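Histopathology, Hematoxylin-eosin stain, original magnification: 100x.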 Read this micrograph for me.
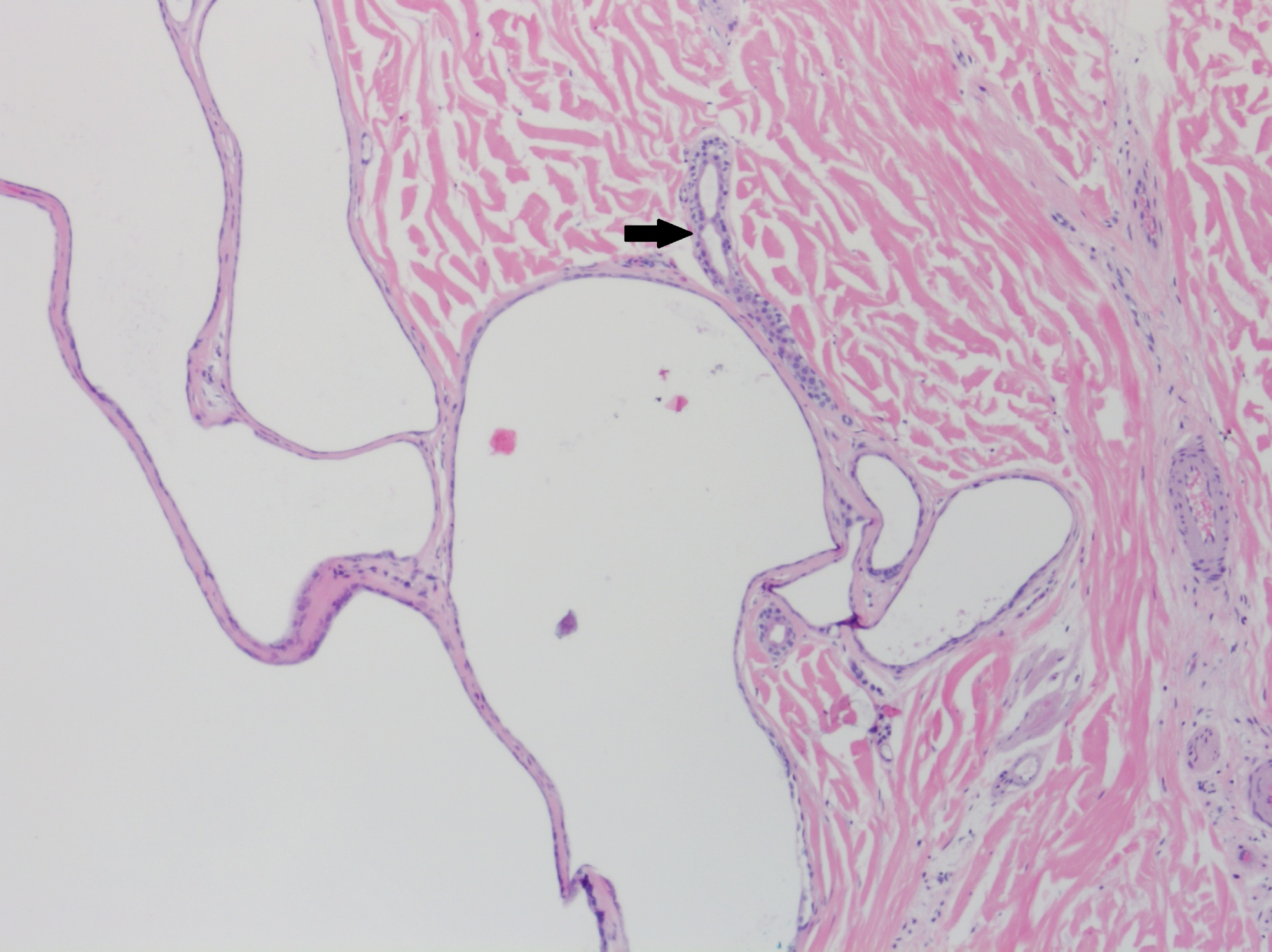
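This section shows a cyst lying in the dermis, surrounded by dense bundles of pink-staining collagen. The cyst is divided by thin septa into several large, mostly empty chambers of differing size. Near the top of the central chamber, a small tube with a narrow lumen and a wall of closely packed dark nuclei runs through the collagen and joins the cyst wall. Small blood vessels and nerve-like bundles are scattered in the surrounding connective tissue at the right.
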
